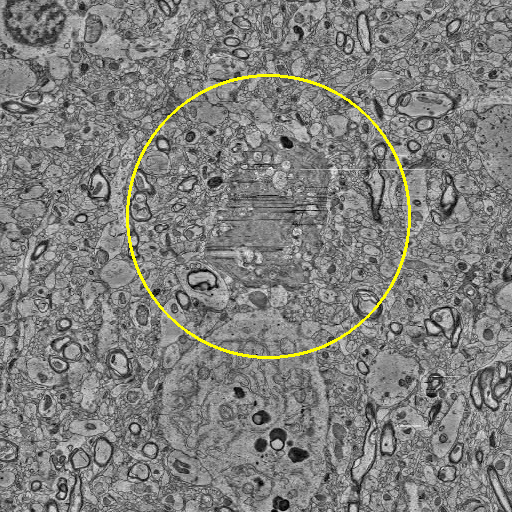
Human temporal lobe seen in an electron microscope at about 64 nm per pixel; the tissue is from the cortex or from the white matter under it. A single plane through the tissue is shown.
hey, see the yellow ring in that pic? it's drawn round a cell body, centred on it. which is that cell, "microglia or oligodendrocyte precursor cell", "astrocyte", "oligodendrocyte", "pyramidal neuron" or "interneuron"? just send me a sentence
The cell in the ring is an interneuron.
